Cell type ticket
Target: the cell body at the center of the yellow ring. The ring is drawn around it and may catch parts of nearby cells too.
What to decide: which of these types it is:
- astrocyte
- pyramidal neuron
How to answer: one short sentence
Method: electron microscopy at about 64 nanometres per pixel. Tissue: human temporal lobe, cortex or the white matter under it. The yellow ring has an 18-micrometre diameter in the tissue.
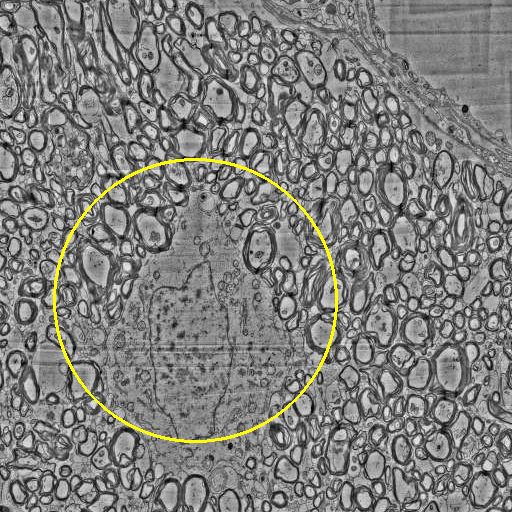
The cell at the center of the ring is a pyramidal neuron.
